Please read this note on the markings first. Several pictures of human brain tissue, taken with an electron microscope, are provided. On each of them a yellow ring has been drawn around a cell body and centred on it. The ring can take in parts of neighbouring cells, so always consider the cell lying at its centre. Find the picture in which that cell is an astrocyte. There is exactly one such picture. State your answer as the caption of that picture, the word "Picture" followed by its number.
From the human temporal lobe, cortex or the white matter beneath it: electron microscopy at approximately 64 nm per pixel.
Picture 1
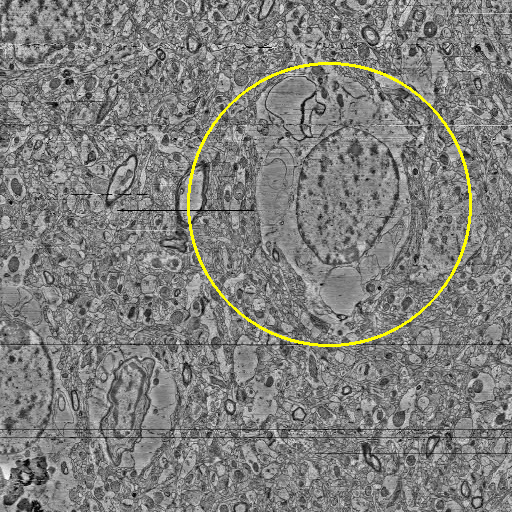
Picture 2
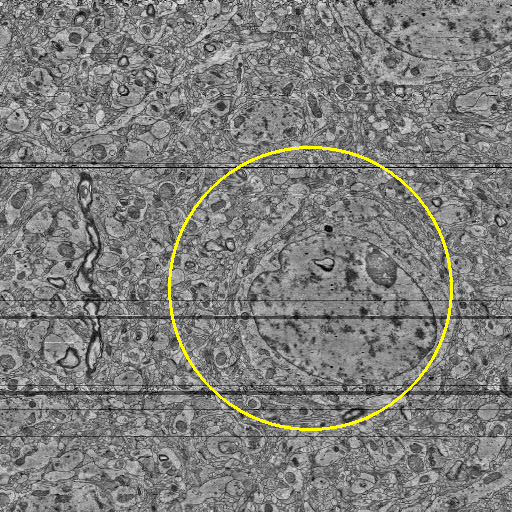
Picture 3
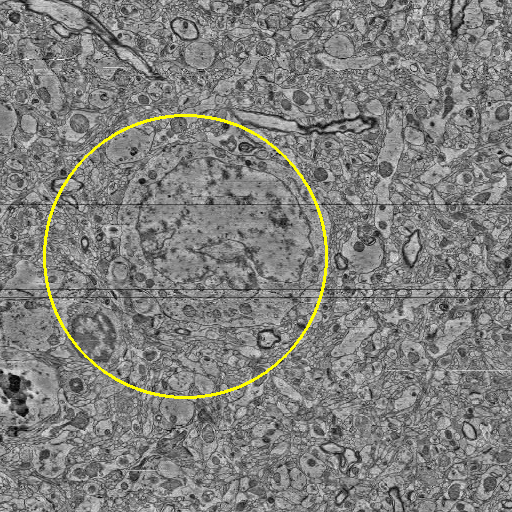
Picture 1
